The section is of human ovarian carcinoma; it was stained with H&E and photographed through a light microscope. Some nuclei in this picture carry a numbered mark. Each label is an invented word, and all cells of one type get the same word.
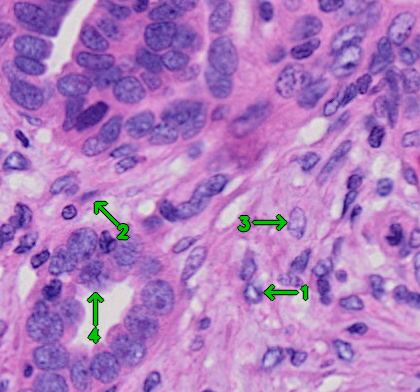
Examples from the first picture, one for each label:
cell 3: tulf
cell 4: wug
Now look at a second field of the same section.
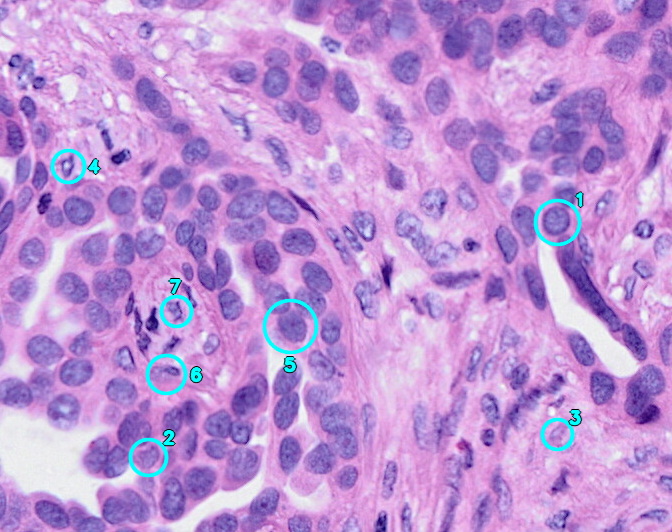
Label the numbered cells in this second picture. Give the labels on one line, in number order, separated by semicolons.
wug; wug; tulf; tulf; wug; tulf; tulf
